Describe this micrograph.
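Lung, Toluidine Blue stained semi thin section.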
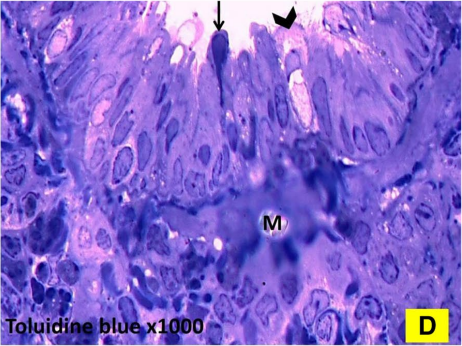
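This is the wall of a terminal bronchiole, with its epithelial lining facing the pale lumen at the top. The lining has ciliated cells and non-ciliated Clara cells, whose dome-shaped apices bulge into the lumen from a narrower base. Oval nuclei lie in the columnar cells, some of them dark. Beneath the epithelium lie slips of smooth muscle in the bronchiolar wall.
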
